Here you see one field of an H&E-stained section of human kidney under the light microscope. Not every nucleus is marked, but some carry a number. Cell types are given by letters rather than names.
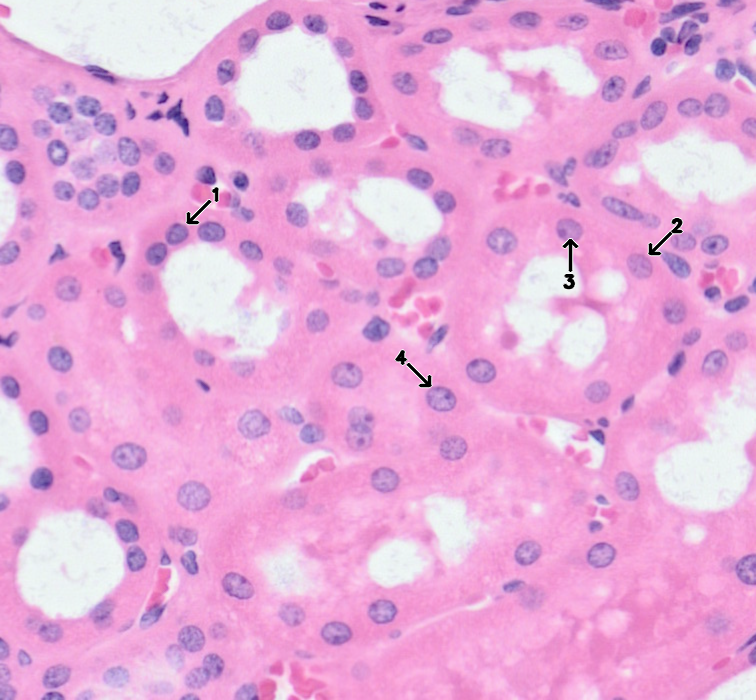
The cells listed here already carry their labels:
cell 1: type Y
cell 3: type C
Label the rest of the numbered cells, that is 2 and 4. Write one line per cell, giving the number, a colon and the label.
2: type C
4: type C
